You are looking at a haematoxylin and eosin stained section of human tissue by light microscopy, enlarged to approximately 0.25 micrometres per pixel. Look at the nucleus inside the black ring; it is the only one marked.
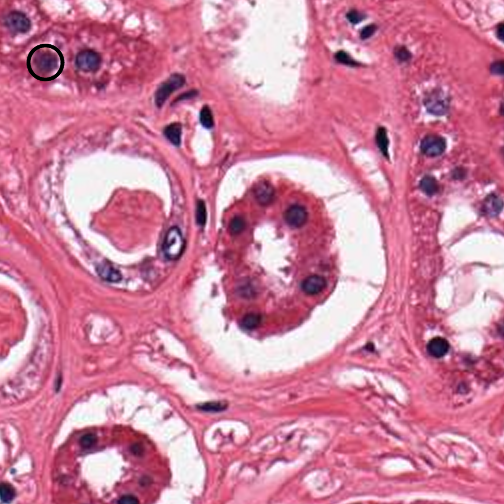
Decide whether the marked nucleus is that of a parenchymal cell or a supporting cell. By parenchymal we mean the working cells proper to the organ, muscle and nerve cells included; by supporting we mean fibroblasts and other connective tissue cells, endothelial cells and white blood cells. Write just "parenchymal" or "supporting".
parenchymal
